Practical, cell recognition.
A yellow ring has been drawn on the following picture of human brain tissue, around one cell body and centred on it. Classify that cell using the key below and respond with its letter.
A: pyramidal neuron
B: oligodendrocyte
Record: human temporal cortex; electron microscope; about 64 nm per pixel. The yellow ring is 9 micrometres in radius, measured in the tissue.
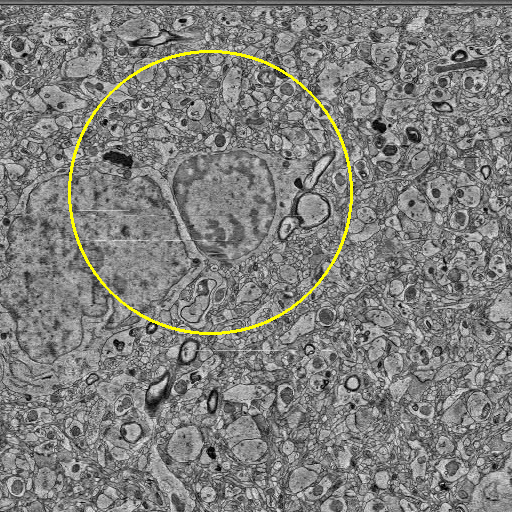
B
